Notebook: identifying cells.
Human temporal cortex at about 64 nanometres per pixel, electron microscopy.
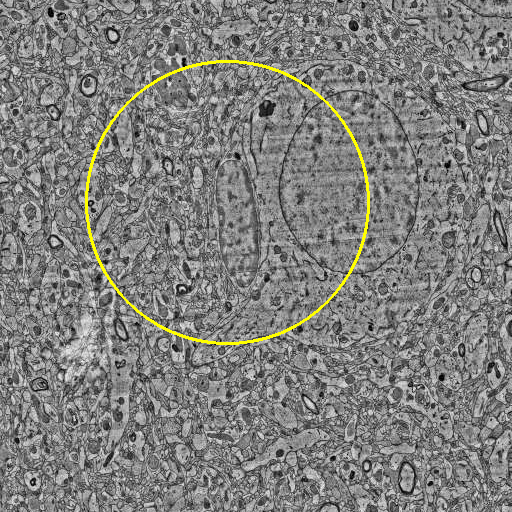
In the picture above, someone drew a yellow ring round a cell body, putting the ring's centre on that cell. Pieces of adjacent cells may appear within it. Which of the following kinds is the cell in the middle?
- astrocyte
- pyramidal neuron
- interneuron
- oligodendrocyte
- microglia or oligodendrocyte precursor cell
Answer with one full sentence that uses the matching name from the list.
In this picture, the yellow ring is centred on the body of a microglial cell or oligodendrocyte precursor cell.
